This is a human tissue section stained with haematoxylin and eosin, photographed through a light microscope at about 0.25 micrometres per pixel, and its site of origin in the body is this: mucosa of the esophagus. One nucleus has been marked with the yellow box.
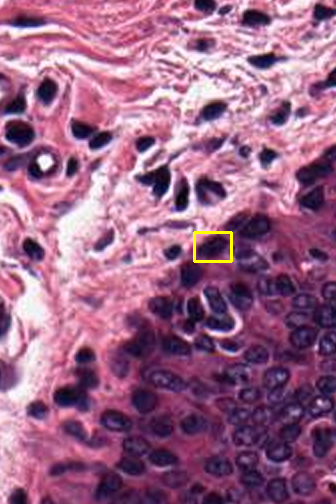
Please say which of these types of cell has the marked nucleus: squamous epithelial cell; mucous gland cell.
squamous epithelial cell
